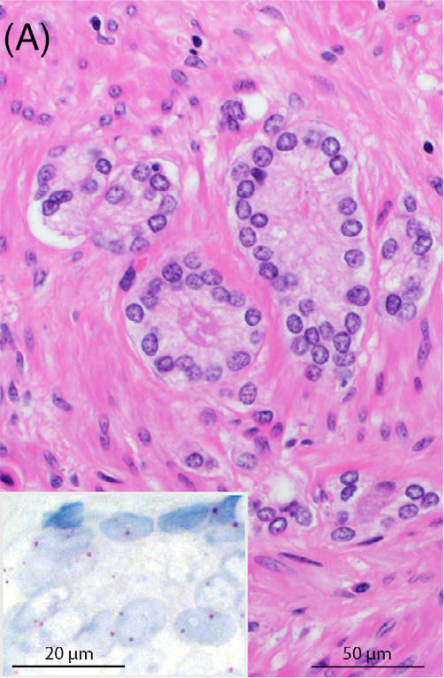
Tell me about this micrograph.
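Tumor cells form small, well-formed glands set in pink fibrous stroma. The cells are monomorphic, with small round nuclei of similar size and inconspicuous nucleoli, and pale cytoplasm lining the gland lumina.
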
